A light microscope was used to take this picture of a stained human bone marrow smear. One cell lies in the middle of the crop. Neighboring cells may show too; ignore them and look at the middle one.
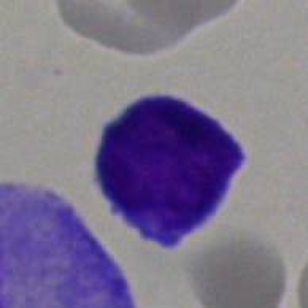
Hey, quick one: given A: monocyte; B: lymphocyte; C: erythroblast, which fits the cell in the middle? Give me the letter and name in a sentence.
Well, the cell in the middle is a lymphocyte, making option B right.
